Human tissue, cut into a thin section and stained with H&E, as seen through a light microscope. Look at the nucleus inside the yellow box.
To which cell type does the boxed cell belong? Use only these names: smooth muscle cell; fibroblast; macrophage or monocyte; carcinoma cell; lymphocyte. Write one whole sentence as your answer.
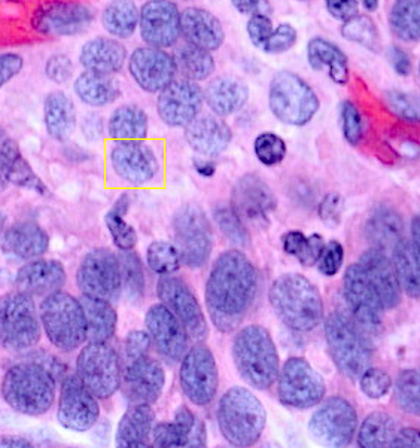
In the tissue under study, the boxed cell is a carcinoma cell.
